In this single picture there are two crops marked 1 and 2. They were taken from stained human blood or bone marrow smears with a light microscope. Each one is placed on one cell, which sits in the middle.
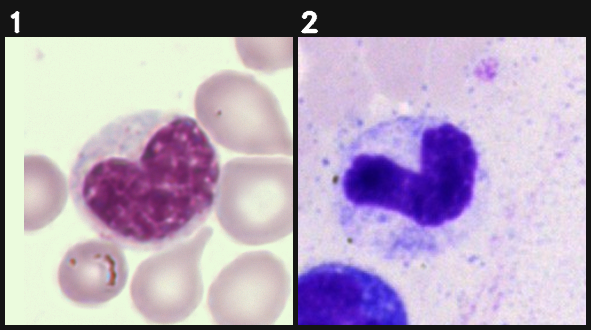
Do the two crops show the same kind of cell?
no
